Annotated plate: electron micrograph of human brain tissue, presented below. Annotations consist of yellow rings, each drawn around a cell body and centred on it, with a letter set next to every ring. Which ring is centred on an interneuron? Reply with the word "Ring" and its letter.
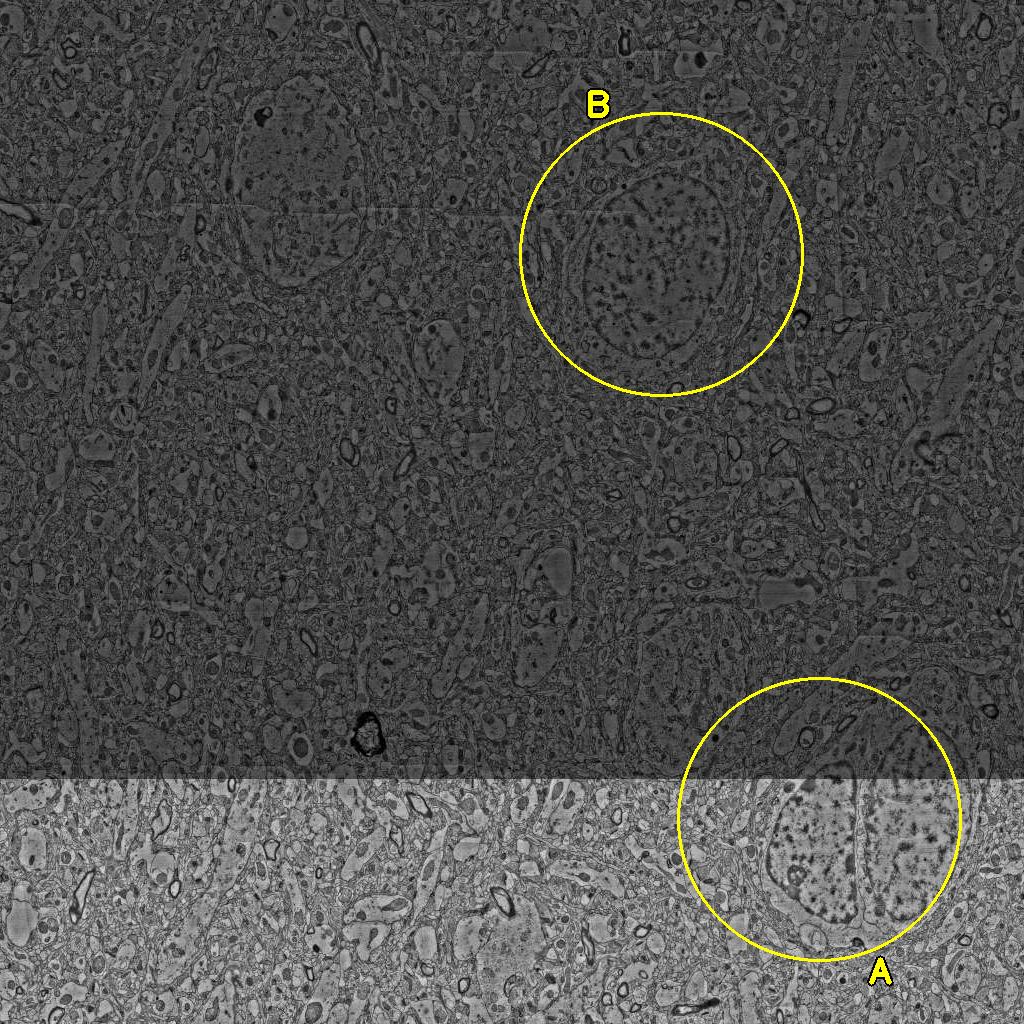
Ring B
